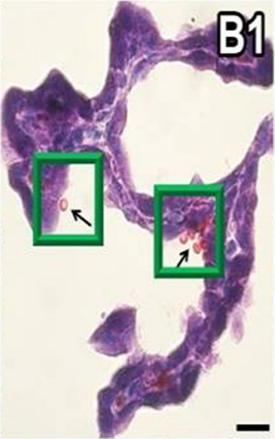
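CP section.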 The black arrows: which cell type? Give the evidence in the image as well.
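Extravasated erythrocytes. The arrows point to small round pink-red discs without nuclei. These discs lie at the free edge of the tissue rather than inside vessels.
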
